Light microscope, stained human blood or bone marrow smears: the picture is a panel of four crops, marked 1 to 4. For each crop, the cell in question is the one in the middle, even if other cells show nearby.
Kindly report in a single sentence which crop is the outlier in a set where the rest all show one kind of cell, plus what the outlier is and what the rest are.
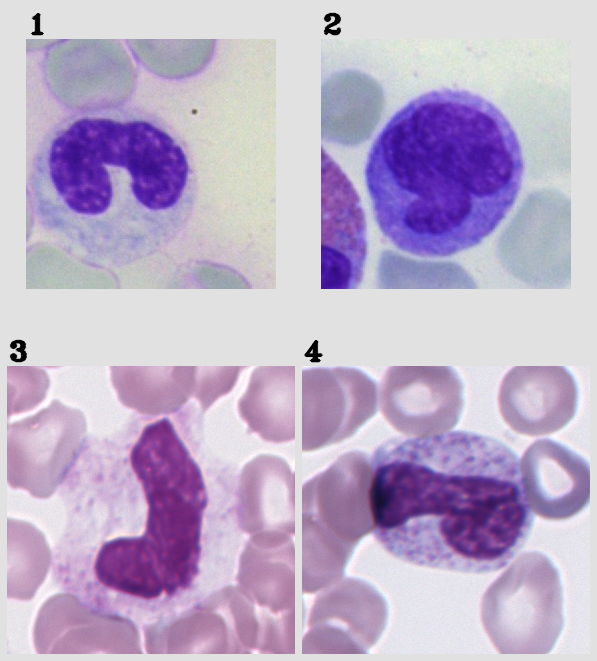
Just crop 2 is a monocyte; all the other crops show band neutrophils.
